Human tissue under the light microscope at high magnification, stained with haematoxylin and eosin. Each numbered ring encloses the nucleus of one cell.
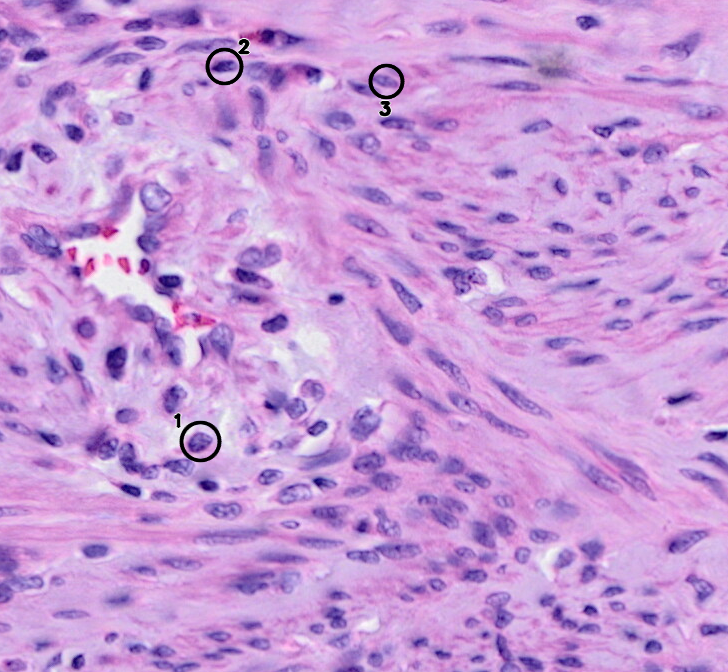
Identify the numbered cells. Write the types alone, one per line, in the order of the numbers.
lymphocyte
lymphocyte
smooth muscle cell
